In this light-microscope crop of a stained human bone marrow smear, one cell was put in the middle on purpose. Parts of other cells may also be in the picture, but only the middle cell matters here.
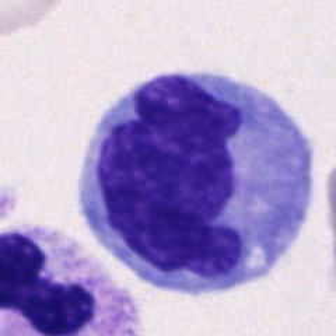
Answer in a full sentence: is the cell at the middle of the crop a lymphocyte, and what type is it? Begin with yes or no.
No, calling it a lymphocyte is wrong; the middle cell is a monocyte.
